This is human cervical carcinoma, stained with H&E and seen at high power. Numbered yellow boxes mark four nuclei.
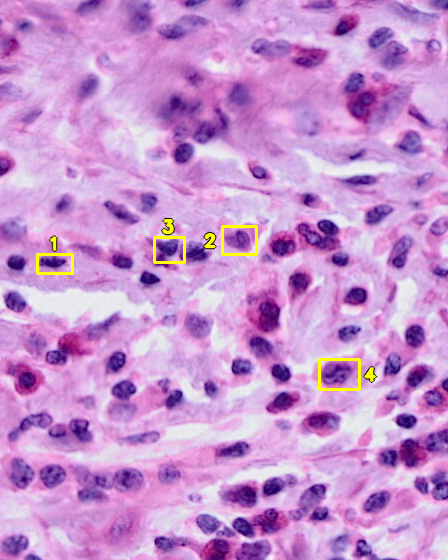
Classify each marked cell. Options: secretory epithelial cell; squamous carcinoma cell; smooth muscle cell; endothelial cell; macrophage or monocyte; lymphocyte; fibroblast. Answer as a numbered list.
1. lymphocyte
2. macrophage or monocyte
3. lymphocyte
4. macrophage or monocyte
